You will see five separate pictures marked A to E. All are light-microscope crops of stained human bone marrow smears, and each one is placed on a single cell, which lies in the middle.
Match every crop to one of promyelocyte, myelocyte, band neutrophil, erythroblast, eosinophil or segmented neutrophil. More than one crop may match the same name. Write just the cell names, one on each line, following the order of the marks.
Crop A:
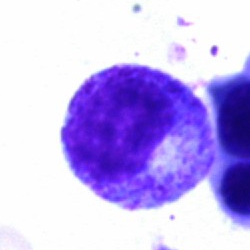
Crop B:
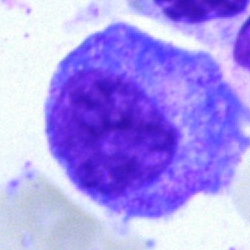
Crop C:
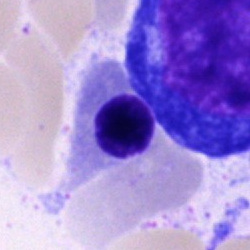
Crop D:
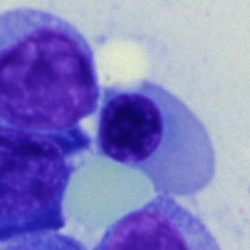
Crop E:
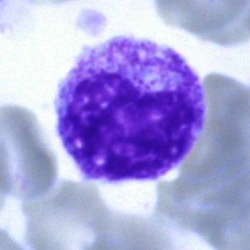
myelocyte
promyelocyte
erythroblast
erythroblast
myelocyte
